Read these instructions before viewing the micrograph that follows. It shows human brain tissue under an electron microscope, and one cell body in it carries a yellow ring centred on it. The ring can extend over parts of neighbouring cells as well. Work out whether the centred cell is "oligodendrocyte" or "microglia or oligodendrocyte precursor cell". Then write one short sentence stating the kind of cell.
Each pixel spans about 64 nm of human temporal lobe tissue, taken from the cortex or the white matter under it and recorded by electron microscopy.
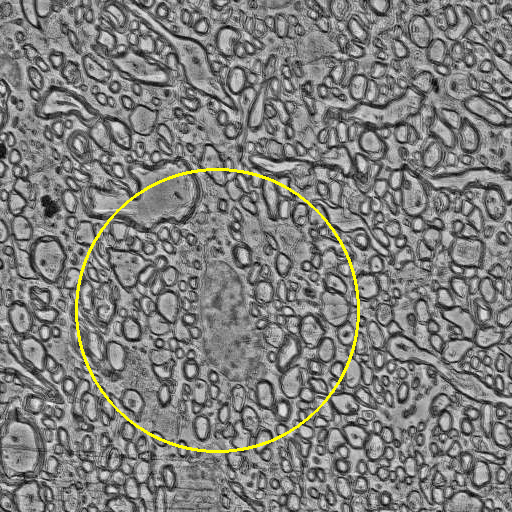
The ringed cell is an oligodendrocyte.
